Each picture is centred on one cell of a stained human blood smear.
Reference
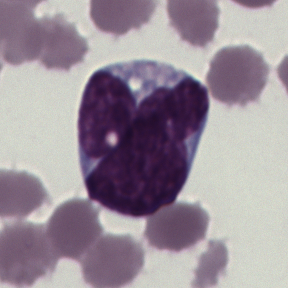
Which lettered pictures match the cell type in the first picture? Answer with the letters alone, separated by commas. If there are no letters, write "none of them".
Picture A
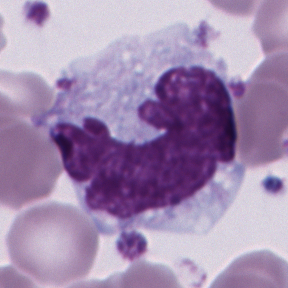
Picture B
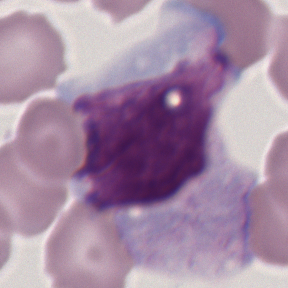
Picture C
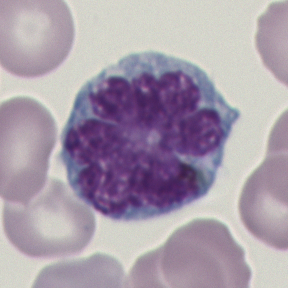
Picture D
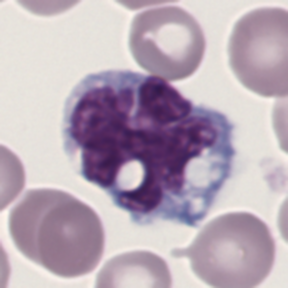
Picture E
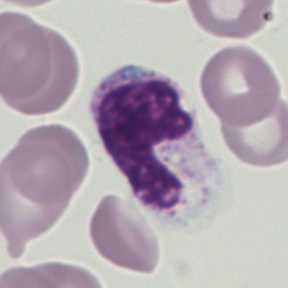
A, B, C, D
